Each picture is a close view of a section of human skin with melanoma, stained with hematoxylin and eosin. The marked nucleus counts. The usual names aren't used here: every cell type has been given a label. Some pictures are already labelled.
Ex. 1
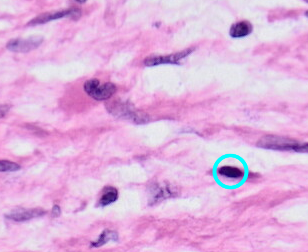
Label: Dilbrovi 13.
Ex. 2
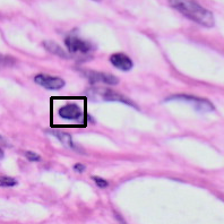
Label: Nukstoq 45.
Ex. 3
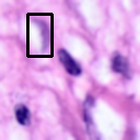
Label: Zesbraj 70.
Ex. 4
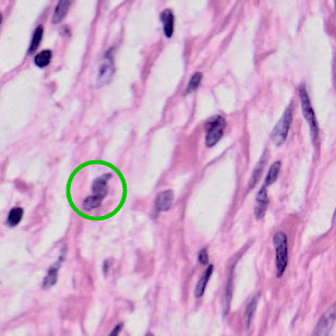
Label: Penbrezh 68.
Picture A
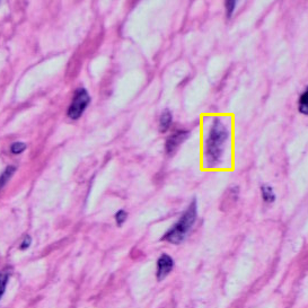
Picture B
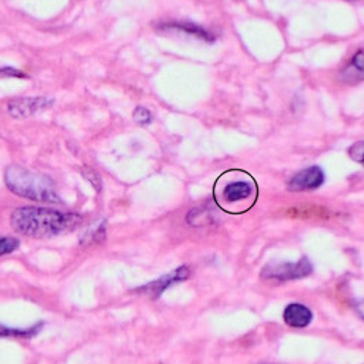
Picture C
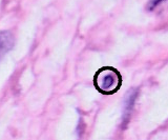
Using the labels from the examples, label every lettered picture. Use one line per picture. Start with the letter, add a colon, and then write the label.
A: Zesbraj 70.
B: Nukstoq 45.
C: Penbrezh 68.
